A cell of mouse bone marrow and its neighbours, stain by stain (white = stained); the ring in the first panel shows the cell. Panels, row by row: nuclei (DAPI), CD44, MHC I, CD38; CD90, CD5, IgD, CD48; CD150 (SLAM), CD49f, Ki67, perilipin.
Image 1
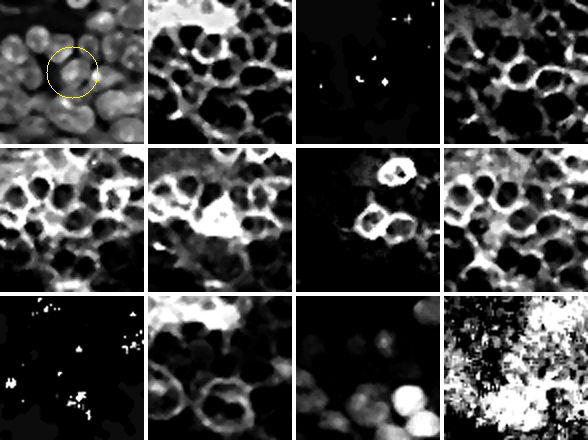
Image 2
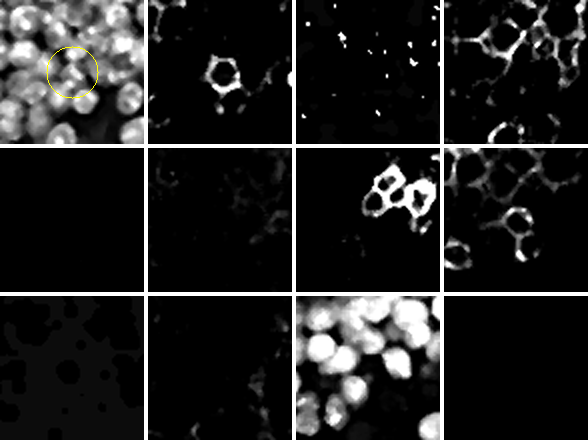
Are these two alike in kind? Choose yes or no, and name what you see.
No. First a B cell, second a monocyte.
